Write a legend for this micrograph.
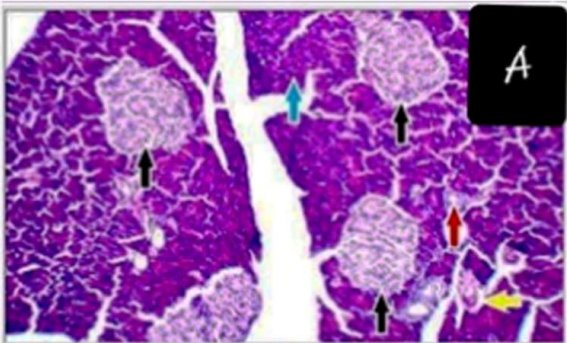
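This is pancreatic tissue in which several rounded, pale-staining islets of Langerhans lie embedded among deeply purple-stained exocrine areas. Lobules of exocrine tissue are separated by clear septa, and small ducts and interstitial blood vessels with pink walls lie between the lobules.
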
